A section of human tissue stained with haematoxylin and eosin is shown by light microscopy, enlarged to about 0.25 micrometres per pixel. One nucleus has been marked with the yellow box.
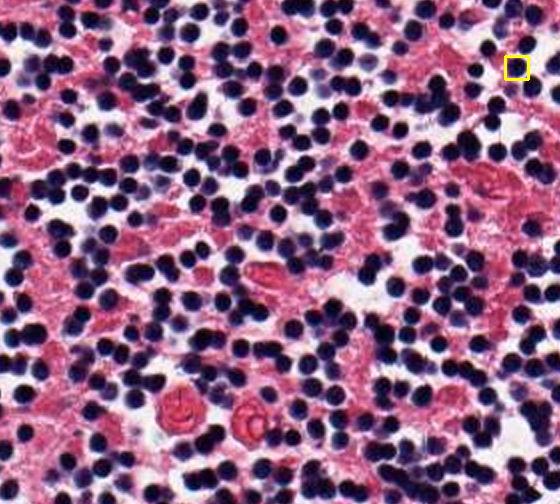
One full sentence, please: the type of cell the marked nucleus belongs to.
The nucleus bearing the mark belongs to a cerebellar granule cell.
